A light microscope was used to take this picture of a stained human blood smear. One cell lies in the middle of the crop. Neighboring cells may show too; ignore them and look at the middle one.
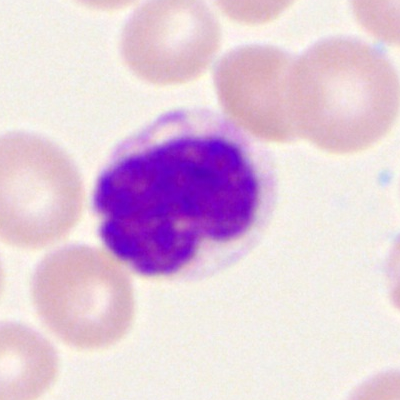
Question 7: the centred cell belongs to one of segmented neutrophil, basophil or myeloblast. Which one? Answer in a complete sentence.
Among the cells in view, the one in the middle is a basophil.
